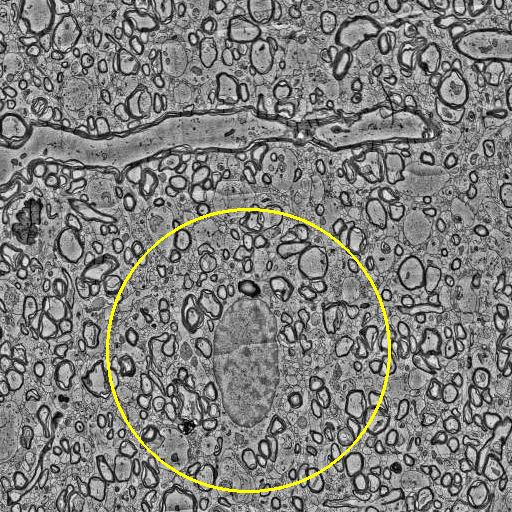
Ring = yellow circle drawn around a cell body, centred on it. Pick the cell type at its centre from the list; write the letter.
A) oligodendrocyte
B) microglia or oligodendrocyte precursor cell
A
